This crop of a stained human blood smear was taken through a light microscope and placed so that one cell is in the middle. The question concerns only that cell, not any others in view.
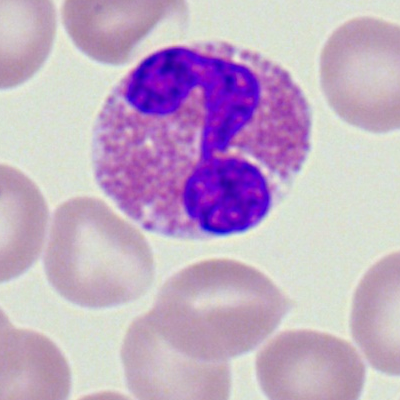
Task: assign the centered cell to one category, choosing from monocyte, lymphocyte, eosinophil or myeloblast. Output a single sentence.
Centred in the crop is an eosinophil.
